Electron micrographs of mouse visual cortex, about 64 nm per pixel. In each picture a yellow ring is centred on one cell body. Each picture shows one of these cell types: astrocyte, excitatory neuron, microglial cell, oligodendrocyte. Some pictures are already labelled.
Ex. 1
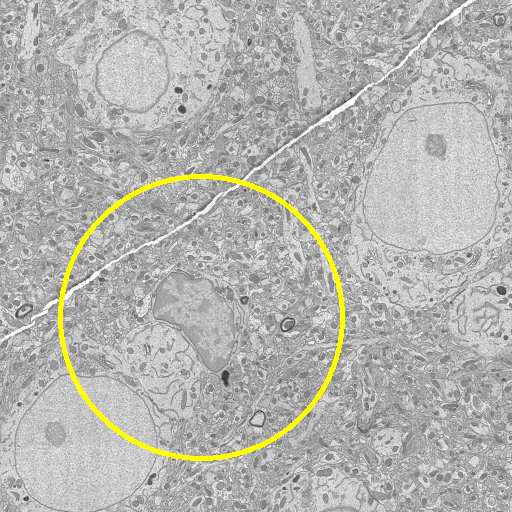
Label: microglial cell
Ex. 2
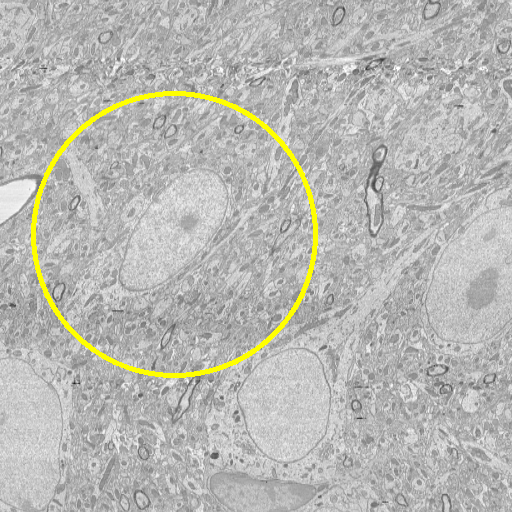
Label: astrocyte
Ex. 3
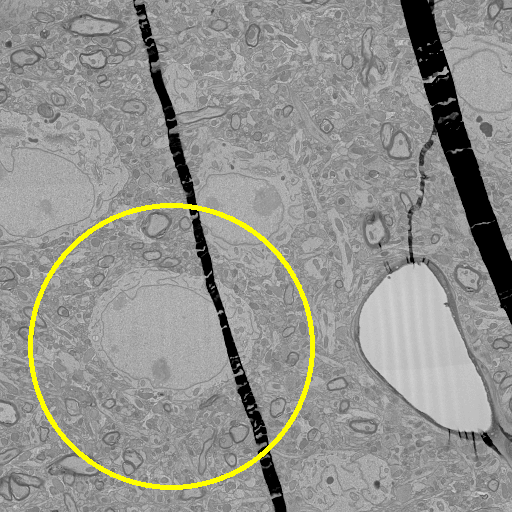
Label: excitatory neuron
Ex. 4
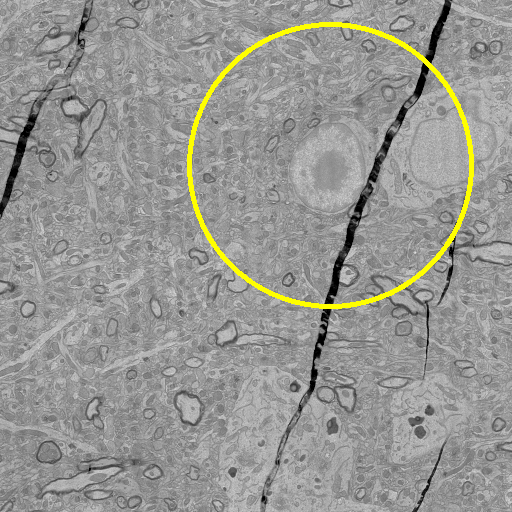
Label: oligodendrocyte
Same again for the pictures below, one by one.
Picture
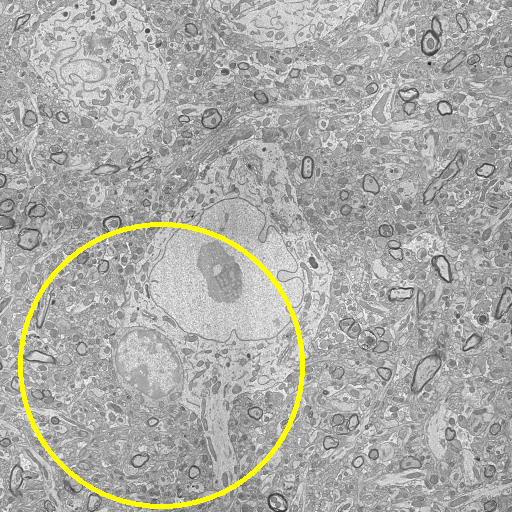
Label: oligodendrocyte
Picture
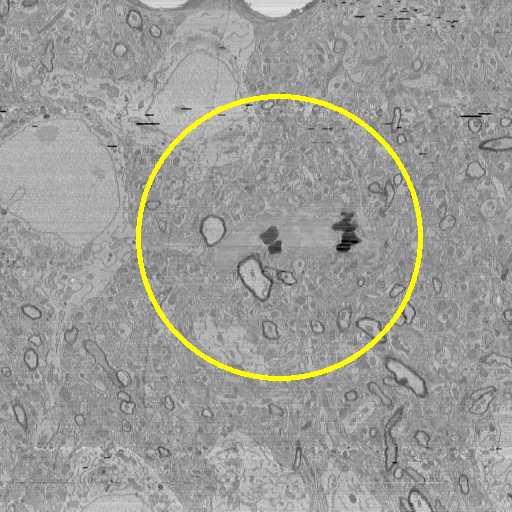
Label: microglial cell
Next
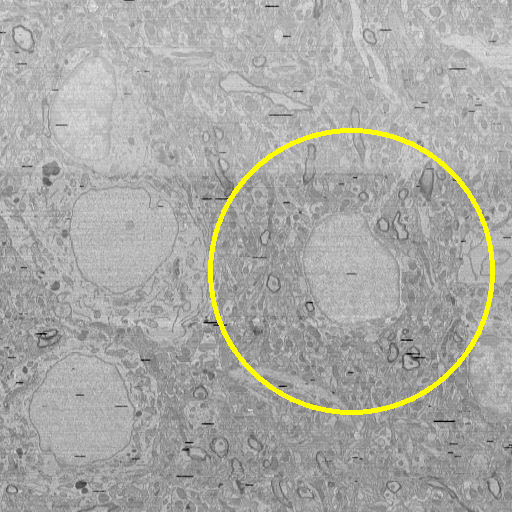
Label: astrocyte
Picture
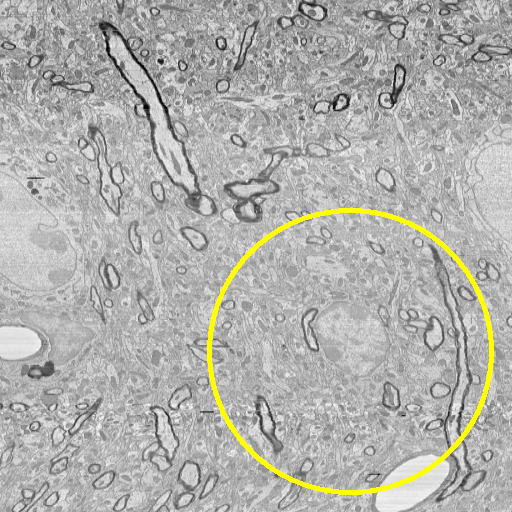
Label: oligodendrocyte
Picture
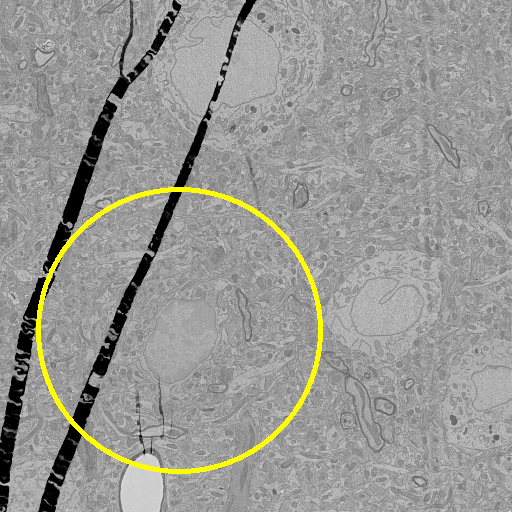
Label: microglial cell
